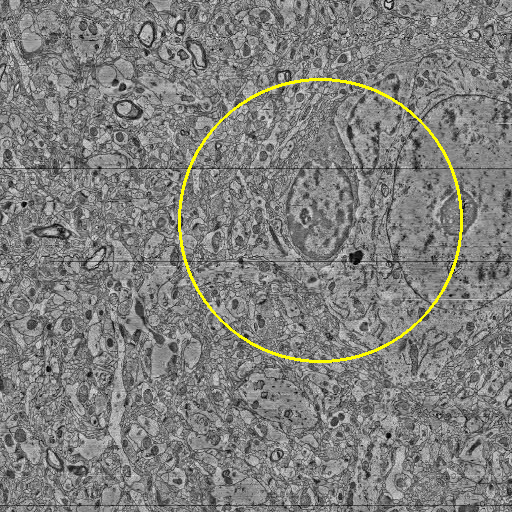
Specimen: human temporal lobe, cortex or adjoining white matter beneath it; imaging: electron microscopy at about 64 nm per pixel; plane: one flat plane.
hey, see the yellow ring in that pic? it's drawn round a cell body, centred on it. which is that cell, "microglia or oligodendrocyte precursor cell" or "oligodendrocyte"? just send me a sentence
The cell in the ring is an oligodendrocyte.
